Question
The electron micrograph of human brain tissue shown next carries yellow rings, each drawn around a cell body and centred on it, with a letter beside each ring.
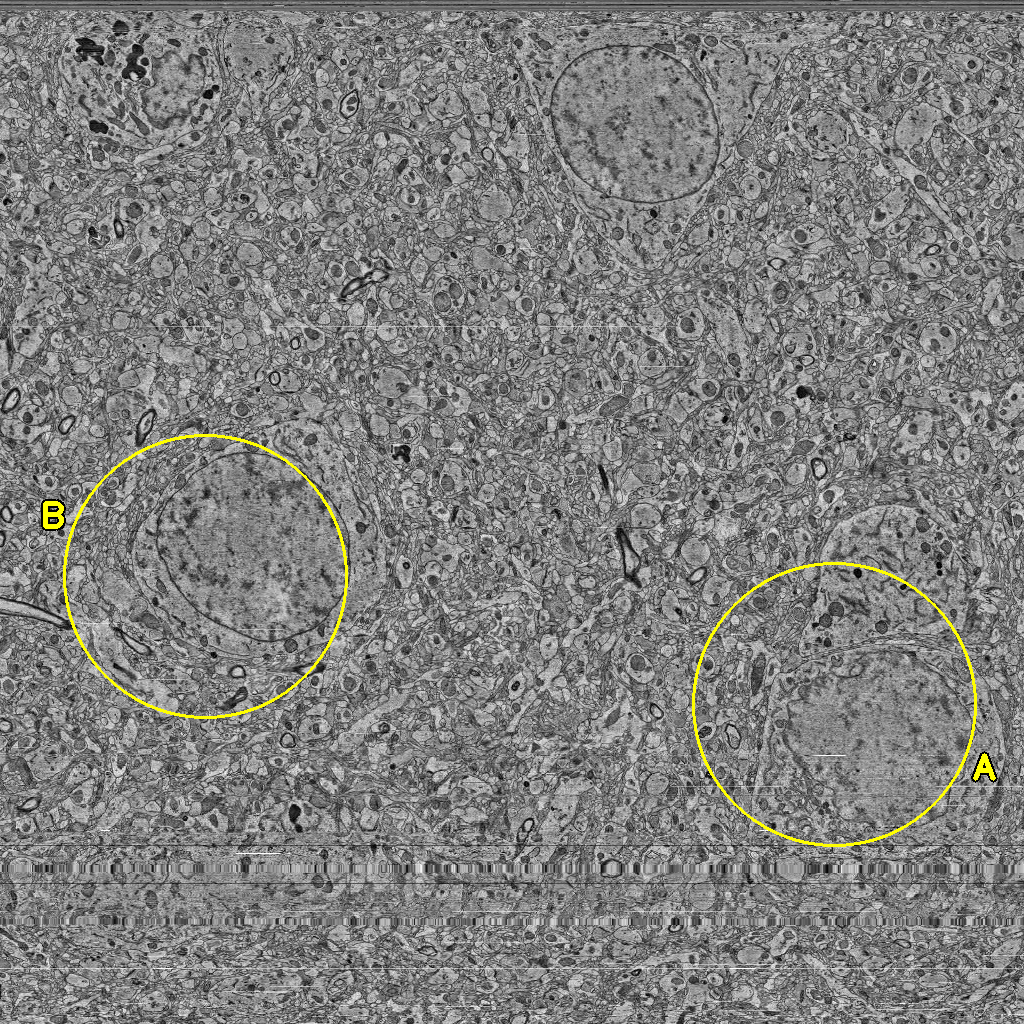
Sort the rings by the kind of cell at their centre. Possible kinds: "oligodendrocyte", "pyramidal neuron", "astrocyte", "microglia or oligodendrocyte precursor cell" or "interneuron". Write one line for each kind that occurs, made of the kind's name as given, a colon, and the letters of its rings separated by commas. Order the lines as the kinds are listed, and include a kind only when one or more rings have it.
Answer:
pyramidal neuron: B
interneuron: A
